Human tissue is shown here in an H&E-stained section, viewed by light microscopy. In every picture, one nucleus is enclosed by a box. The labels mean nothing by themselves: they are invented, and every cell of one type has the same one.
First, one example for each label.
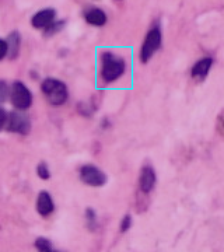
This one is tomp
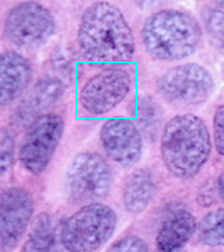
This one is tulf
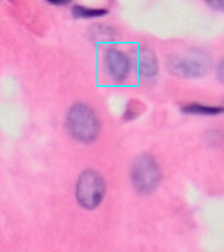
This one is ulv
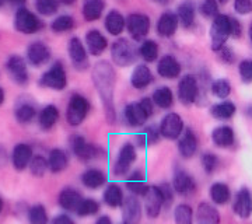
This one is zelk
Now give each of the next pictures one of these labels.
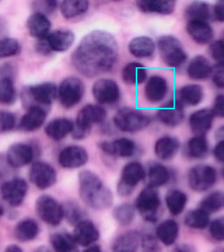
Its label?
zelk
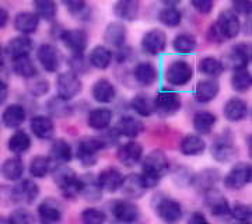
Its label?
zelk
